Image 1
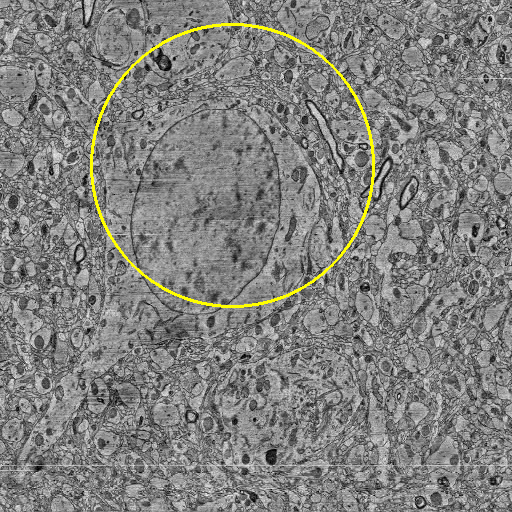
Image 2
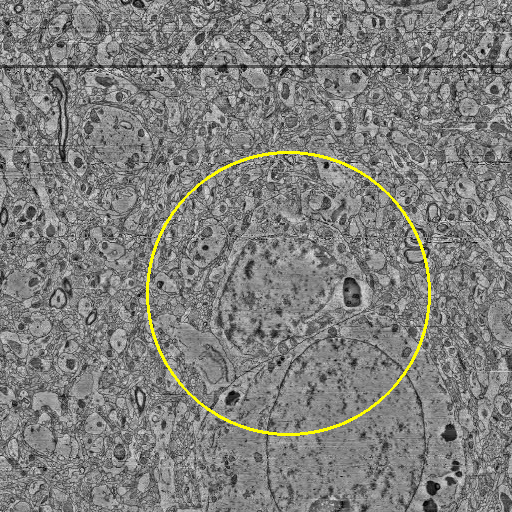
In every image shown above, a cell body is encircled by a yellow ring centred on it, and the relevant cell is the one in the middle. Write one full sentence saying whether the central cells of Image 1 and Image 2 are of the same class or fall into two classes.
The cell at the ring's centre in Image 1 and its counterpart in Image 2 fall into two classes.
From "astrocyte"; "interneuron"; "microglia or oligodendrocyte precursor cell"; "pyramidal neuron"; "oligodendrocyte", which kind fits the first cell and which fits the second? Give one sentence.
The cell marked in the first picture is a pyramidal neuron, and the one marked in the second is an interneuron.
